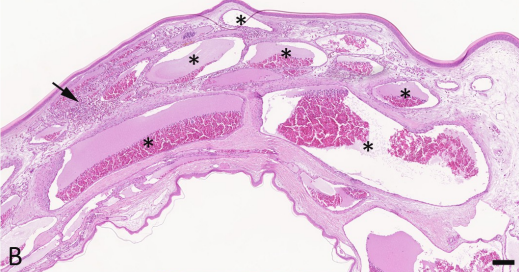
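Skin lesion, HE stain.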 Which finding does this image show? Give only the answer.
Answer: cavernous hemangioma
